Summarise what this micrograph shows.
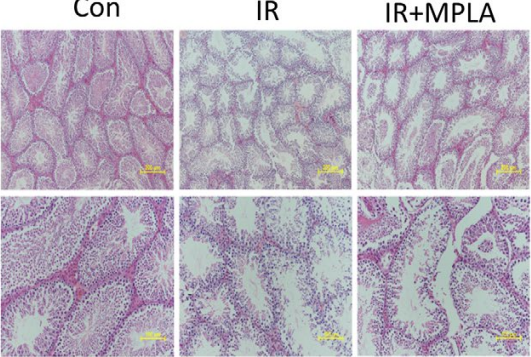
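Cross-sections of testis showing seminiferous tubules at low and higher magnification. Each tubule is lined by a stratified epithelium of purple-stained nuclei surrounding a central lumen. Pink-staining interstitial tissue fills the spaces between adjacent tubules. In the left column the epithelium is thick and densely cellular with pink interstitium prominent. In the middle and right columns the epithelium appears thinner and paler, with wider, more irregular lumens.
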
